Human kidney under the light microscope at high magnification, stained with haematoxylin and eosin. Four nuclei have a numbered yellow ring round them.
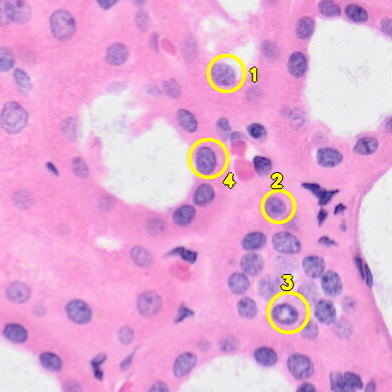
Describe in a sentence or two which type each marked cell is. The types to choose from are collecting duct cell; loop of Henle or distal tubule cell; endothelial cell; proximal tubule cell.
Cells 1, 2 and 4 are loop of Henle or distal tubule cells. Cell 3 is a collecting duct cell.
